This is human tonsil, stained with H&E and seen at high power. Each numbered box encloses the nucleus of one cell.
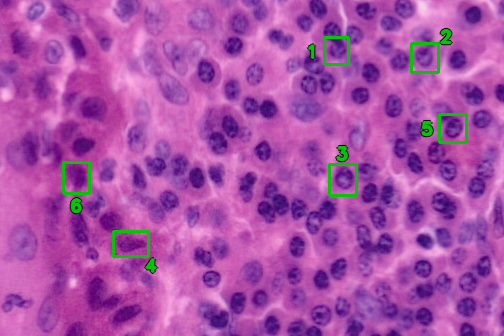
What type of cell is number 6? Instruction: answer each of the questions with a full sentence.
Recognised here as a squamous epithelial cell is the cell numbered 6.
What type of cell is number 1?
Cell number 1 in this section is a plasma cell.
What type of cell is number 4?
The correct answer for cell 4 is a squamous epithelial cell.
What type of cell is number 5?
Recognised here as a plasma cell is the cell numbered 5.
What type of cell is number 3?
It is as a plasma cell that the cell numbered 3 is identified.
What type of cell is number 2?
Cell 2 is classified as a plasma cell.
